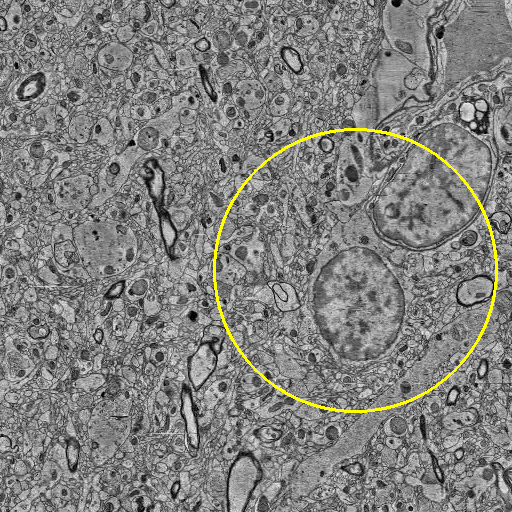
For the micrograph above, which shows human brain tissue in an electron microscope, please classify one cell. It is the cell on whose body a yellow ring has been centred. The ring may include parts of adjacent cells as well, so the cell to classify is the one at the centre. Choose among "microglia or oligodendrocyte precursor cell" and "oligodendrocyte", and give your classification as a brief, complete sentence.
I classify this cell as an oligodendrocyte.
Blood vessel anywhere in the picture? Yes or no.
Yes, there is a blood vessel in the image.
